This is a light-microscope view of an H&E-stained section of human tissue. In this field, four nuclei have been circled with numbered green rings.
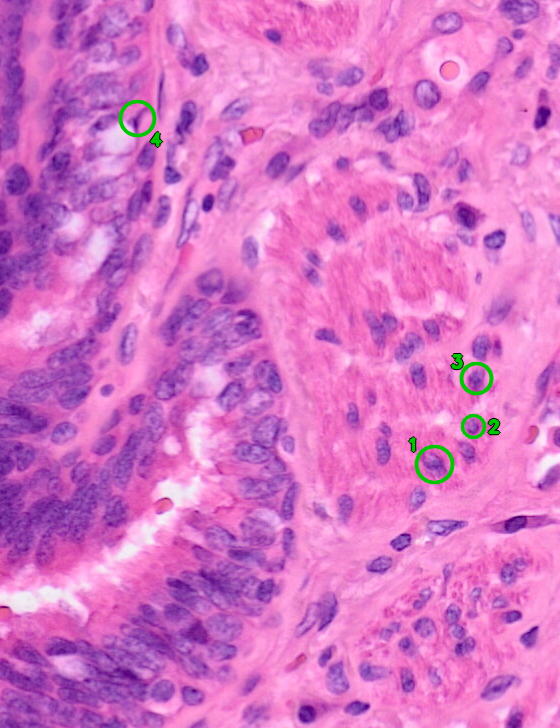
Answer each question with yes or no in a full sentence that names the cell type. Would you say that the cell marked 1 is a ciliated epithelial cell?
No, calling cell 1 a ciliated epithelial cell is incorrect; it is a smooth muscle cell or pericyte.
